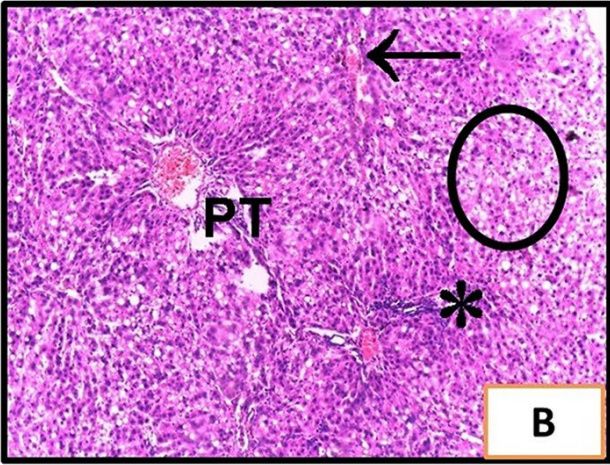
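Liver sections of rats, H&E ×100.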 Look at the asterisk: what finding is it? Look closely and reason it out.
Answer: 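A dense cluster of small, dark purple nuclei lies beside the asterisk. So: inflammatory cells infiltrates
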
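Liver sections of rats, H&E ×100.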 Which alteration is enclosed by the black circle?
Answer: Vacuolization.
